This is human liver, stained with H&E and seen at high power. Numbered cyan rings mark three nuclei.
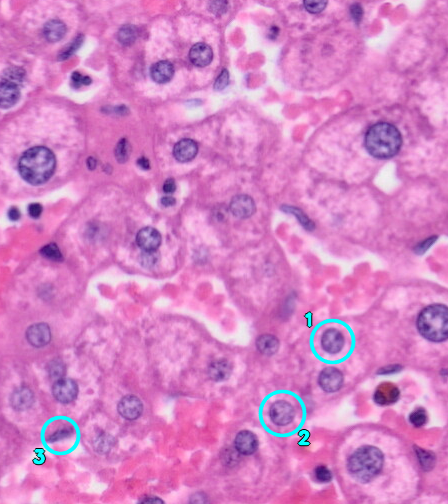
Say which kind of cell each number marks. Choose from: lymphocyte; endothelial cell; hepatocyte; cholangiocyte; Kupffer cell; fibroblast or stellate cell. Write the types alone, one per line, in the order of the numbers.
hepatocyte
hepatocyte
endothelial cell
